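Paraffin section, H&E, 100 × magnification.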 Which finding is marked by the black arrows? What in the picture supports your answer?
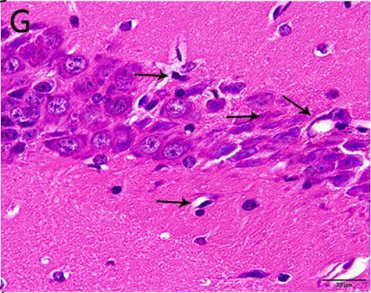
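The marked cells are shrunken and stain darker than the neighbouring large neurons. Their nuclei are small and dense, without the pale round nucleus and nucleolus of the intact neurons.
Answer: necrotic neurons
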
